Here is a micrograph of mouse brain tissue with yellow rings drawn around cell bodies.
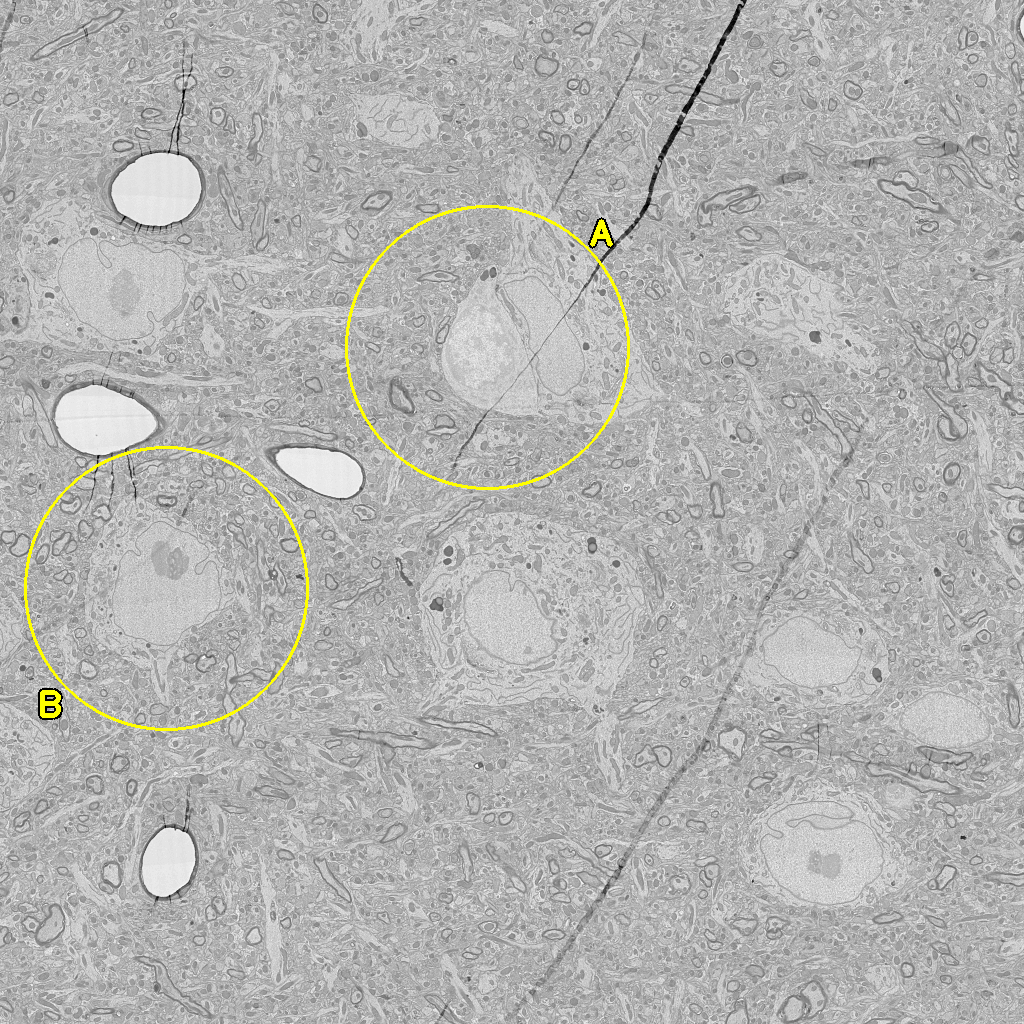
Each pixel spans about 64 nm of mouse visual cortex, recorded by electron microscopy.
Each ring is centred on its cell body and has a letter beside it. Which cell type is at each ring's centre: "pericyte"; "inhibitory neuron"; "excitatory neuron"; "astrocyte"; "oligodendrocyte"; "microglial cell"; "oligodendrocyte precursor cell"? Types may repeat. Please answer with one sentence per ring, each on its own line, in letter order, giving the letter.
Ring A shows an oligodendrocyte at its centre.
Ring B shows an excitatory neuron at its centre.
